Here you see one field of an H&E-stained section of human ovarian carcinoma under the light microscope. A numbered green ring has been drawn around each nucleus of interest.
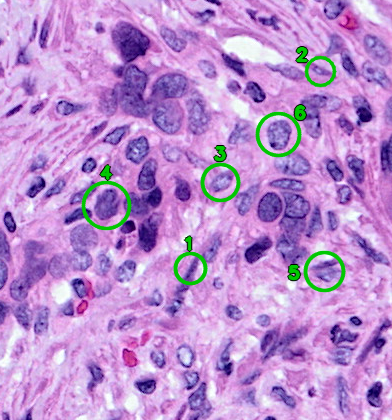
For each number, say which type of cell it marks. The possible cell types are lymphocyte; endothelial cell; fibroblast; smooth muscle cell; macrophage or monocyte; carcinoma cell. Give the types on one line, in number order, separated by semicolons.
fibroblast; fibroblast; fibroblast; carcinoma cell; fibroblast; macrophage or monocyte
